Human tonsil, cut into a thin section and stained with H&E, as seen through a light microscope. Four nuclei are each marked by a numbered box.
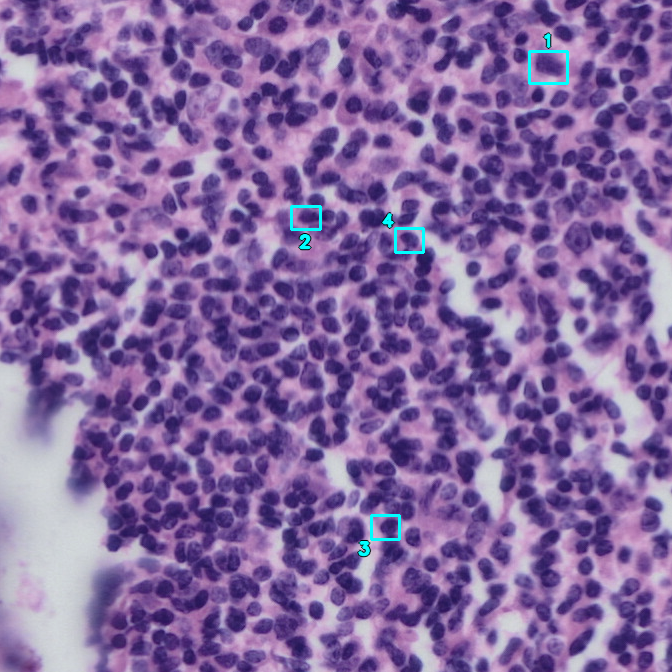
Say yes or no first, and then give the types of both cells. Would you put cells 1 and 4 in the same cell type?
No, unlike cell 1, which is a proliferating B cell, cell 4 is a small lymphocyte.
